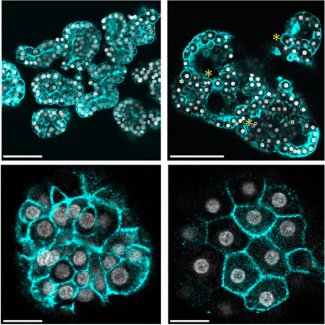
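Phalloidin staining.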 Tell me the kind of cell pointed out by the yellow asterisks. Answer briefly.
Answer: Binucleated hepatocytes.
